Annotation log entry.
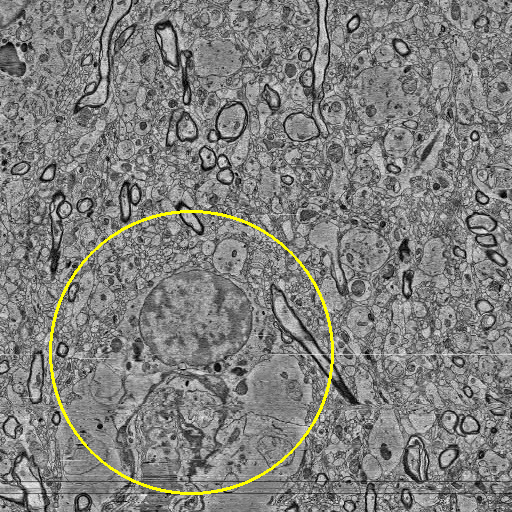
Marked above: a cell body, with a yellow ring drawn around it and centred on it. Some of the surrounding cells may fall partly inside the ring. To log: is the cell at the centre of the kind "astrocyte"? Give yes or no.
No, the cell at the centre is of another kind.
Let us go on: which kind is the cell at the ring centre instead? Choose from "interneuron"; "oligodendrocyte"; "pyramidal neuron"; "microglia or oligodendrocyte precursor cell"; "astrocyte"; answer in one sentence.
In this picture, the ring is centred on an oligodendrocyte.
